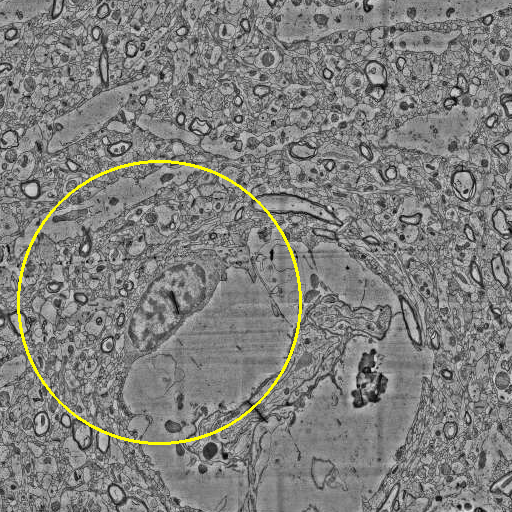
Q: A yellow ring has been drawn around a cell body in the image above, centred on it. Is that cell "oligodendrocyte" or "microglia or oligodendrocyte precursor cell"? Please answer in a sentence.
The ring surrounds the cell body of an oligodendrocyte.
